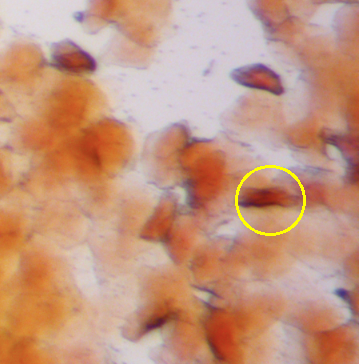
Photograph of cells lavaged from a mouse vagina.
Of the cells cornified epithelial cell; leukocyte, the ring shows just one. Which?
The ring shows a cornified epithelial cell.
